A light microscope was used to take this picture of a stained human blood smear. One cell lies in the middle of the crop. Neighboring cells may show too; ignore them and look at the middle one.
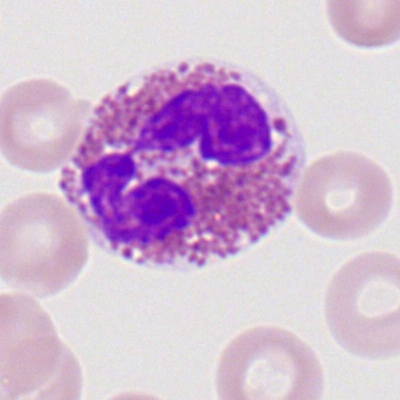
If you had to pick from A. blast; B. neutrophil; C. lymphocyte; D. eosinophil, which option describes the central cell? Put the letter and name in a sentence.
The cell occupying the centre is an eosinophil; option D is thus the correct choice.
